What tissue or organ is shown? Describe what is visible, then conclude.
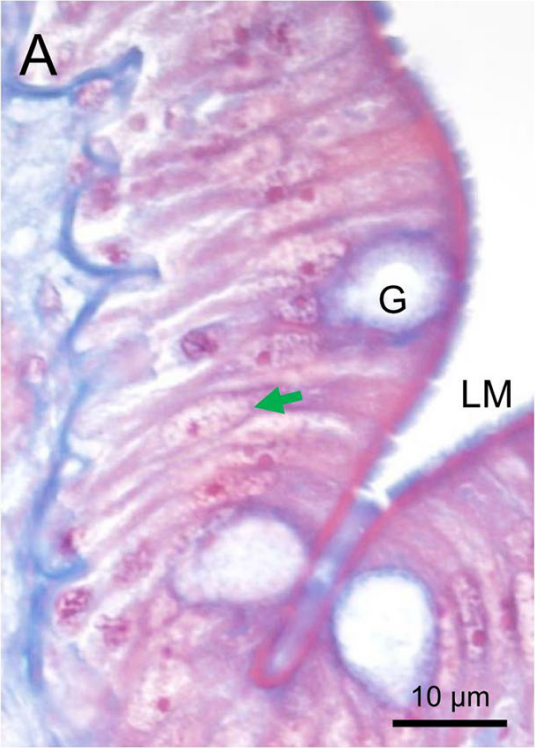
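Tall, narrow cells stand side by side, perpendicular to the free surface. The free surface faces an empty lumen. Pale round vacuolated cells are scattered among the tall cells. That points to this answer: columnar epithelium.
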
